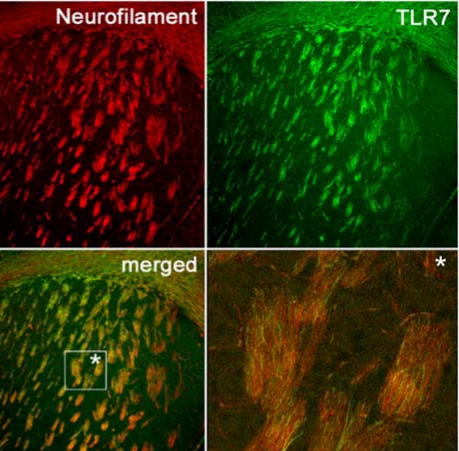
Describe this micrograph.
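Striatum with numerous axon bundles scattered through the grey matter, seen at low power and in an enlarged view. The bundles are small, oval to elongated, and run roughly in parallel, giving a dappled pattern across the field. A curved band of white matter lies along the upper edge above the bundled region. The red and green labels largely coincide within the bundles, which appear yellow-orange in the overlay. At higher power each bundle resolves into many thin, straight parallel fibres, with finer single fibres running between the bundles.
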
